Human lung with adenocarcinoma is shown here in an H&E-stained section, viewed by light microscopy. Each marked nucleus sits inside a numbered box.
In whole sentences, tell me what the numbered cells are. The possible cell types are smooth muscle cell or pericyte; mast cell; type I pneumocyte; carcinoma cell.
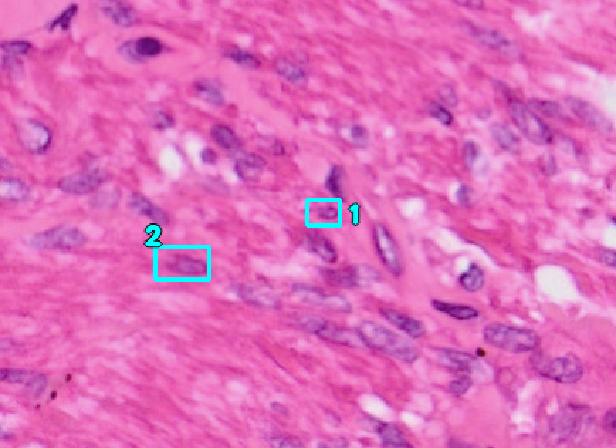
Cell 1 is a mast cell. Cell 2 is a smooth muscle cell or pericyte.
